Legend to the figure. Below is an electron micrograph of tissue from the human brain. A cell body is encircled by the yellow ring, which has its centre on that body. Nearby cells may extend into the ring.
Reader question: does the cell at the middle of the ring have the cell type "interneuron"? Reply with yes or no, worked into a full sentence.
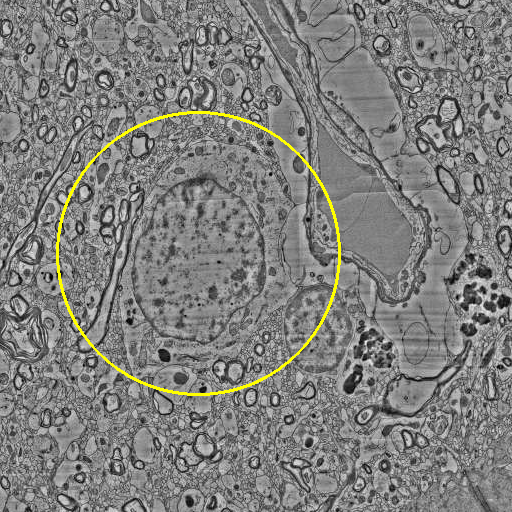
Yes, the cell sitting at the middle of the ring in the picture has that cell type.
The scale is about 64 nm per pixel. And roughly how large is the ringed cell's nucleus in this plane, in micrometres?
The nucleus is approximately 11 micrometers long by 8 micrometers wide in this plane.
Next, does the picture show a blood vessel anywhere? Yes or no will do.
Yes, a blood vessel is present in this picture.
